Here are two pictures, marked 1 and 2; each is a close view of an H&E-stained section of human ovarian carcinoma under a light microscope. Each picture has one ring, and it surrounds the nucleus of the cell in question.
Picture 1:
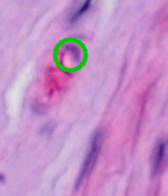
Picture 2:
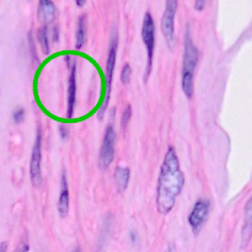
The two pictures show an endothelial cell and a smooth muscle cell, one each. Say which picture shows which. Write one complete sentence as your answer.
In picture 1 the cell is an endothelial cell; in picture 2, a smooth muscle cell.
